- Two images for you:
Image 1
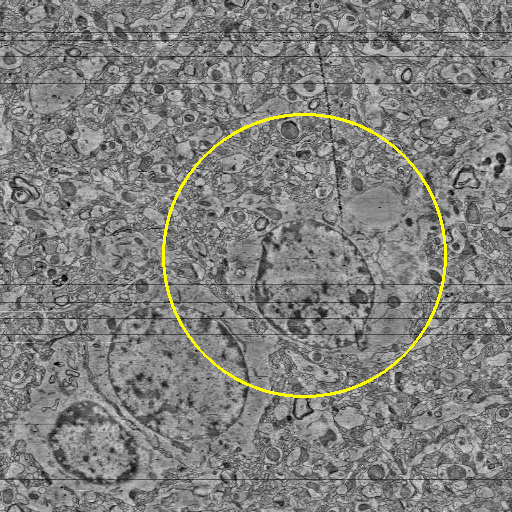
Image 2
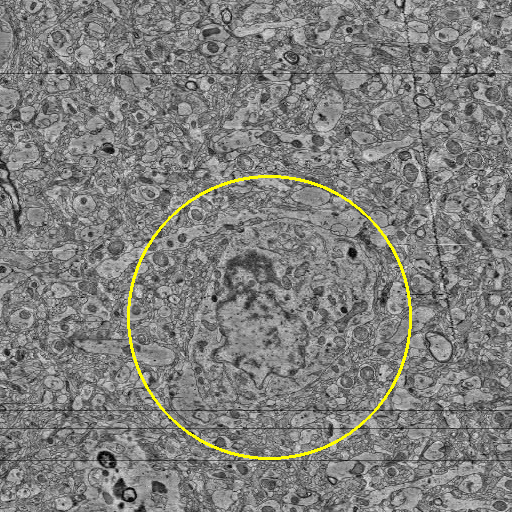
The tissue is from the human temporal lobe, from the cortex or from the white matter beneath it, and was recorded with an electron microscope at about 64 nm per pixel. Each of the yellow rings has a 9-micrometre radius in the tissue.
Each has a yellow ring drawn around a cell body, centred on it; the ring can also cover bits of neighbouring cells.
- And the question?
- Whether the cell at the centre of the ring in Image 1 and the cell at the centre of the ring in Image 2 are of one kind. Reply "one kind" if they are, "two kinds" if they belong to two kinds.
two kinds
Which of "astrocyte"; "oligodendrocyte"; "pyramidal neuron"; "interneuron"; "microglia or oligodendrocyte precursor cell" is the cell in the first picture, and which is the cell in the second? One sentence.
The two differ: the first cell is an astrocyte and the second is an interneuron.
